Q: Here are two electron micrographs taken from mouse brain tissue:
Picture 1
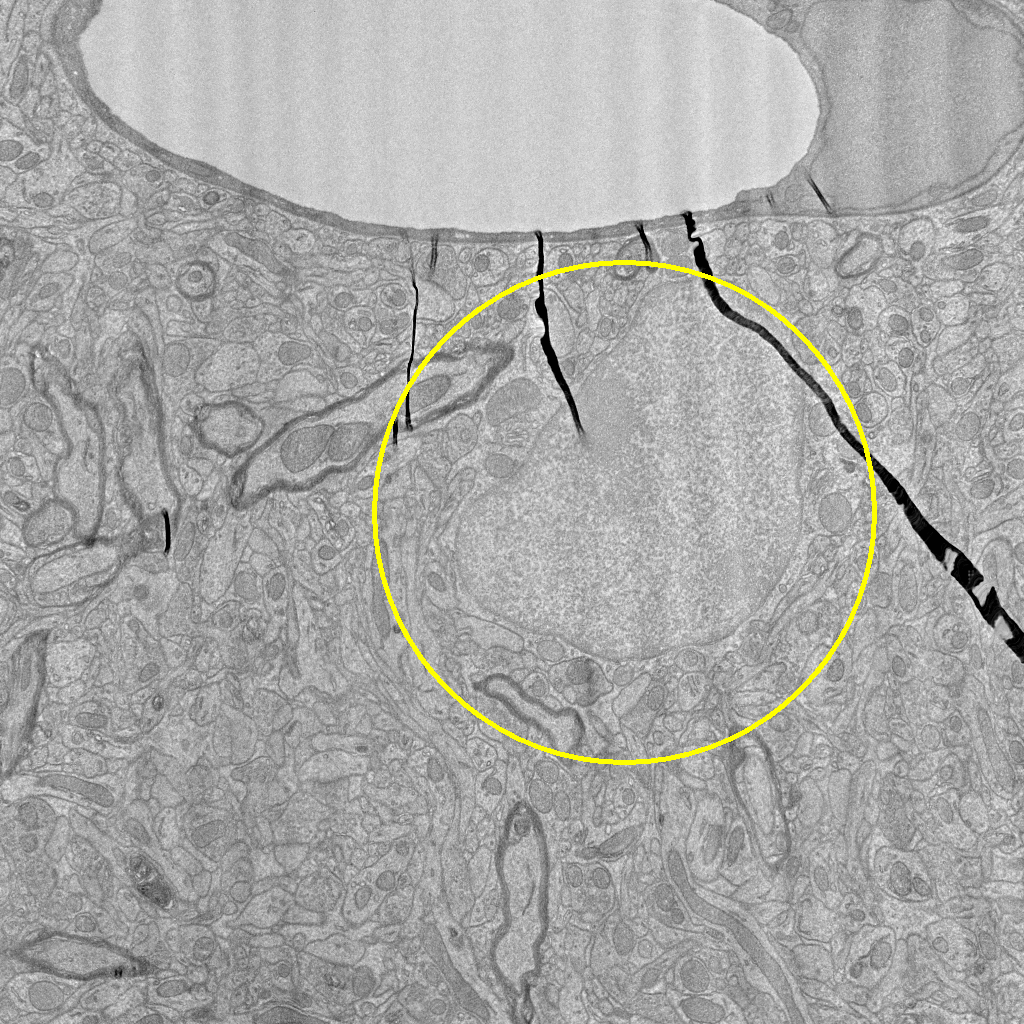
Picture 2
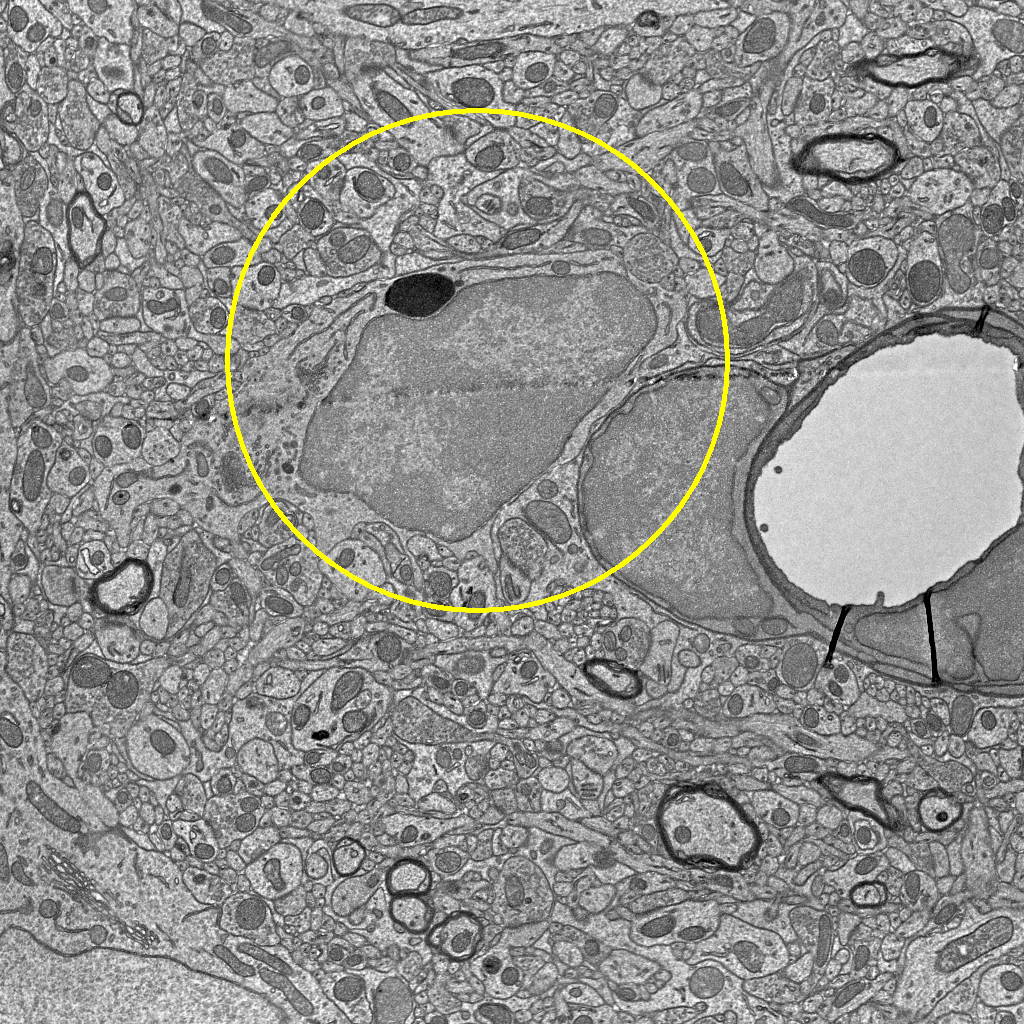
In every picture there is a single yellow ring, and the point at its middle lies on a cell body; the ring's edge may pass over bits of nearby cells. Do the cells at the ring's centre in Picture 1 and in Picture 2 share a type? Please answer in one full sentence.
No, the cells at the ring's centre in Picture 1 and Picture 2 are of two types.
